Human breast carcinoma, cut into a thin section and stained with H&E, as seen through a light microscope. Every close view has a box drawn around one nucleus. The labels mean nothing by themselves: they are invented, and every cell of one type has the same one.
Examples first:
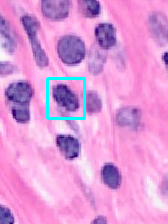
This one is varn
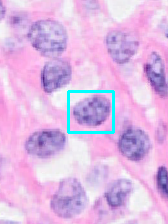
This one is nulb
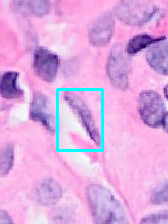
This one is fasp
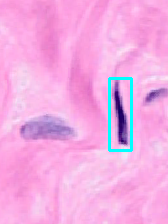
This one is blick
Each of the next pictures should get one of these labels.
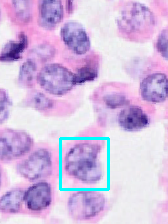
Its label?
nulb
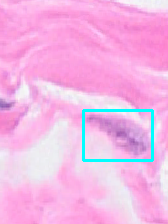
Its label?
blick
